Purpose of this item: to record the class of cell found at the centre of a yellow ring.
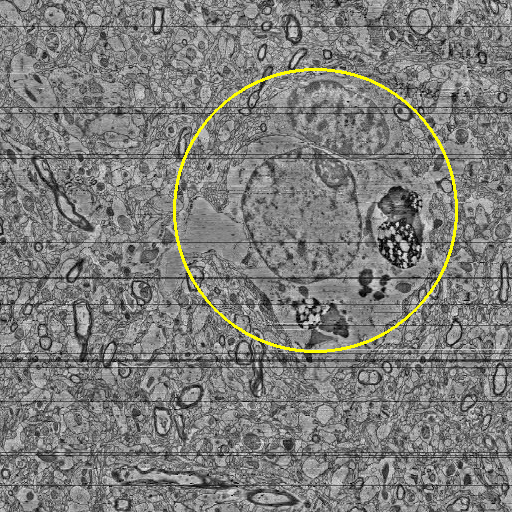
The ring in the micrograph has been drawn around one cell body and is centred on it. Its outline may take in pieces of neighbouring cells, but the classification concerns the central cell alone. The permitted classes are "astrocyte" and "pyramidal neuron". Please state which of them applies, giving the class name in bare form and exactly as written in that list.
astrocyte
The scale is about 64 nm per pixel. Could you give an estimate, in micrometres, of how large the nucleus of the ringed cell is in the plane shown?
The nucleus comes to roughly 8 micrometres across in this plane.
